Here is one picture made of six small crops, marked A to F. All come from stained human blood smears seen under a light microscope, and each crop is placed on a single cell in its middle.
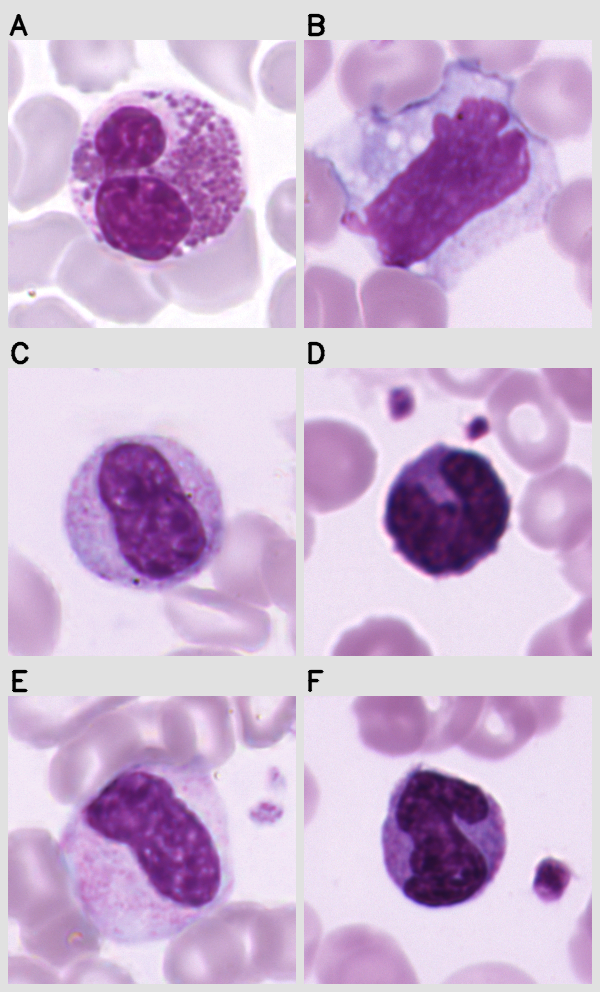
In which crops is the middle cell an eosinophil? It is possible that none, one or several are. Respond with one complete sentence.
Every crop except crop A lacks an eosinophil.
